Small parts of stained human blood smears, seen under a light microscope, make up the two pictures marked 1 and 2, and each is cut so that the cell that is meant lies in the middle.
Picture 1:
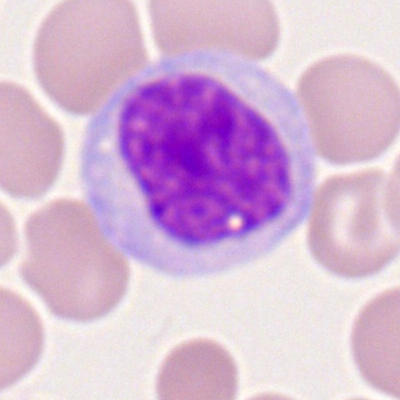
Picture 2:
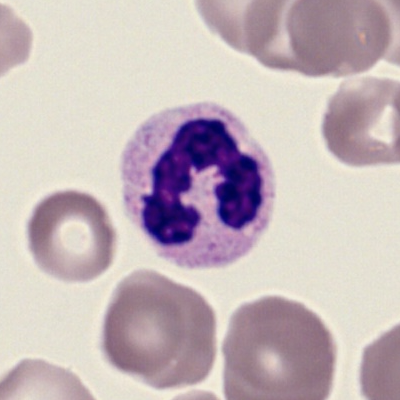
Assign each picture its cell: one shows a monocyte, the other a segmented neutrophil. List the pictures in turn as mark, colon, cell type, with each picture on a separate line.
1: monocyte
2: segmented neutrophil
